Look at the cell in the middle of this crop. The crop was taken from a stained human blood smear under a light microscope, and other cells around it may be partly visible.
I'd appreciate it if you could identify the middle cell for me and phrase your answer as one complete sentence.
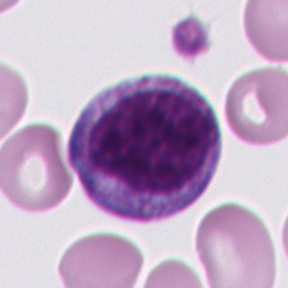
Here the centrally located cell is a myelocyte.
